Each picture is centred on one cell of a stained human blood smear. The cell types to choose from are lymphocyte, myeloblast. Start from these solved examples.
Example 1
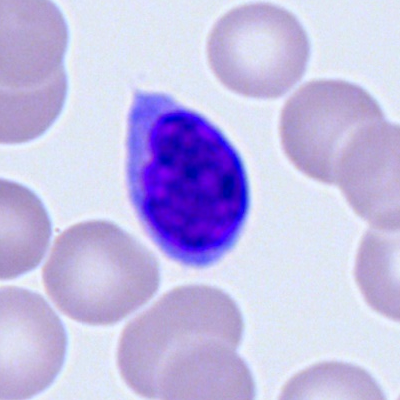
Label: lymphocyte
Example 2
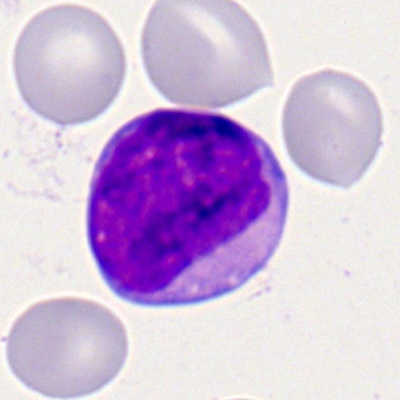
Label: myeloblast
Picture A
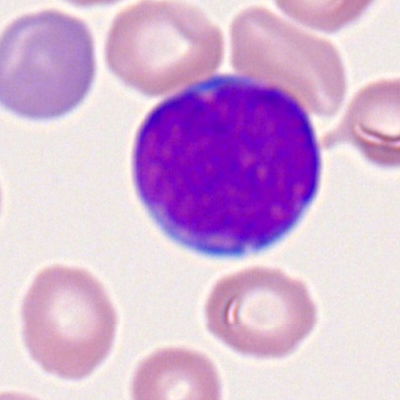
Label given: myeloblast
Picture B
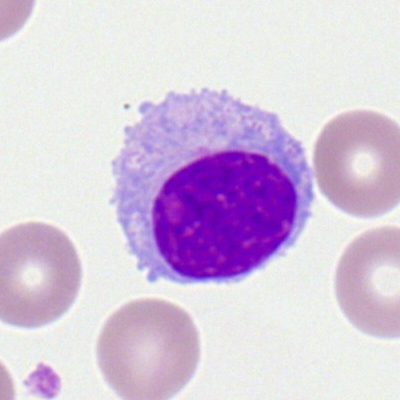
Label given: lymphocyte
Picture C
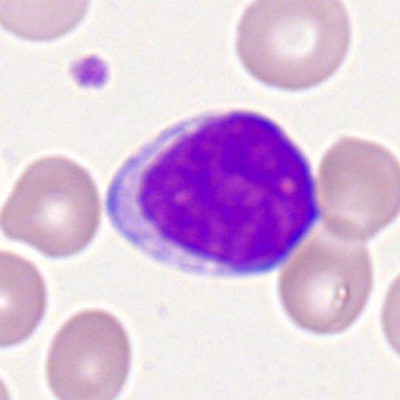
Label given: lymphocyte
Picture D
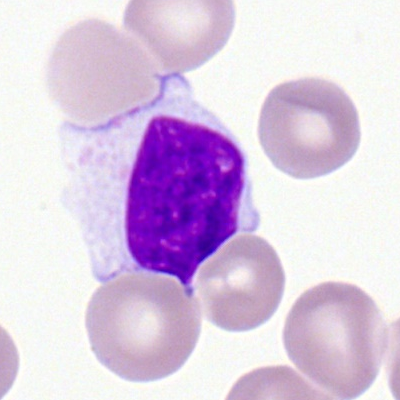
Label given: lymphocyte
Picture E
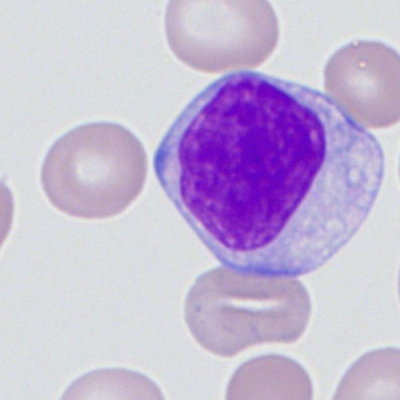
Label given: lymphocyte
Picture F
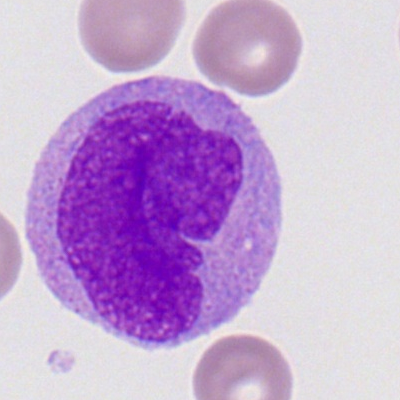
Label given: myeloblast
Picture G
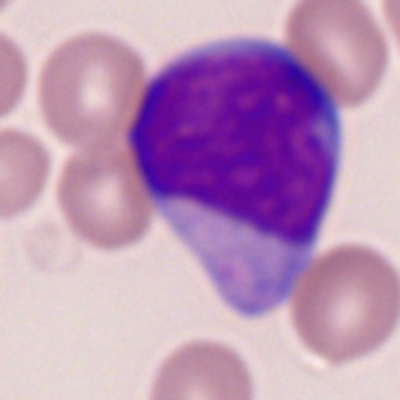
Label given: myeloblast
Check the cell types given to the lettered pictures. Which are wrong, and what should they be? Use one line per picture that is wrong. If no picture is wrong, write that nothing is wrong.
Nothing to fix; every label fits.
